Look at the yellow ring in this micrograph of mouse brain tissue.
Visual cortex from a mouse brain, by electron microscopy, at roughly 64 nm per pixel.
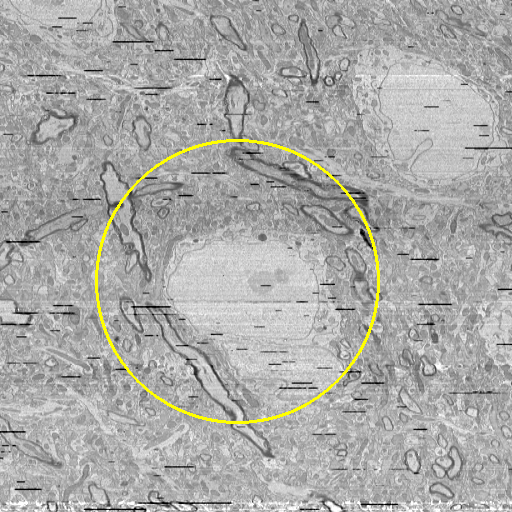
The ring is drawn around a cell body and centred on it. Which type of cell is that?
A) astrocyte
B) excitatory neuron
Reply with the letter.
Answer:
B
